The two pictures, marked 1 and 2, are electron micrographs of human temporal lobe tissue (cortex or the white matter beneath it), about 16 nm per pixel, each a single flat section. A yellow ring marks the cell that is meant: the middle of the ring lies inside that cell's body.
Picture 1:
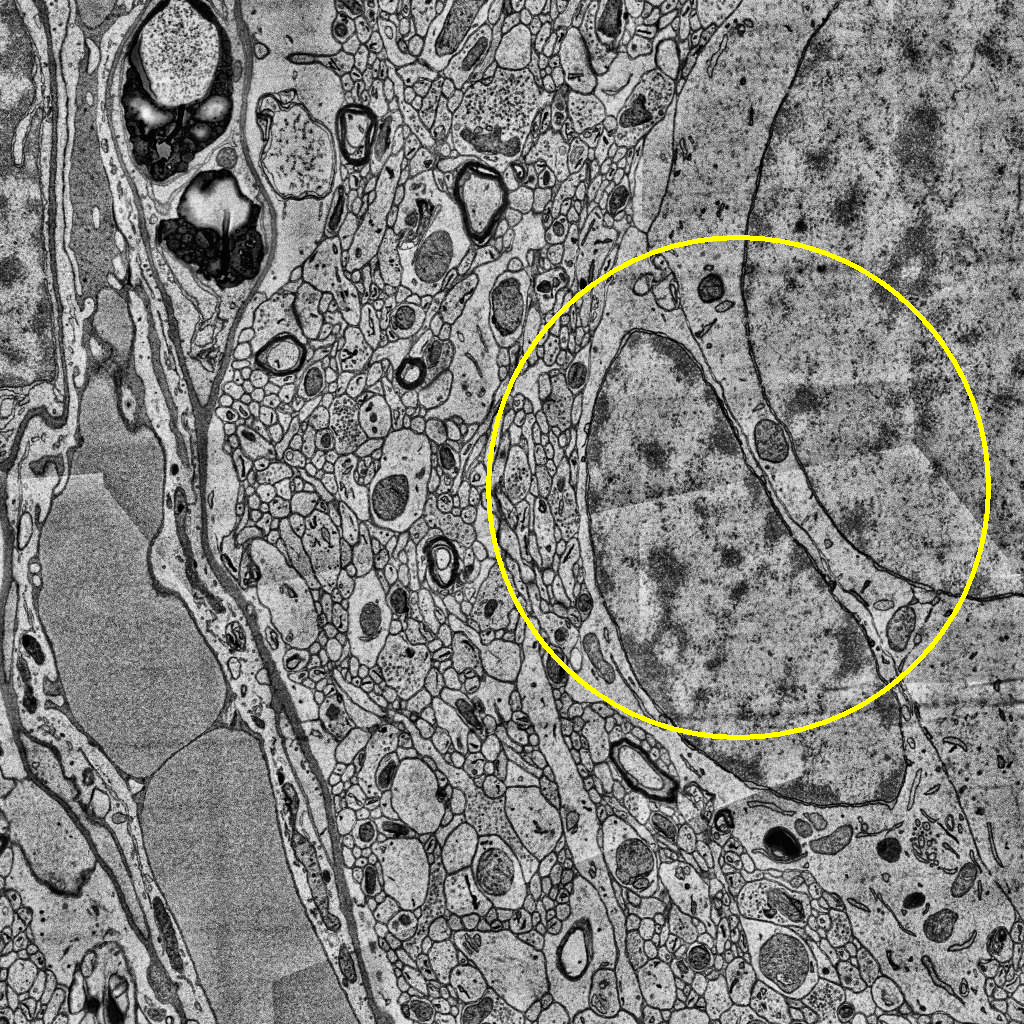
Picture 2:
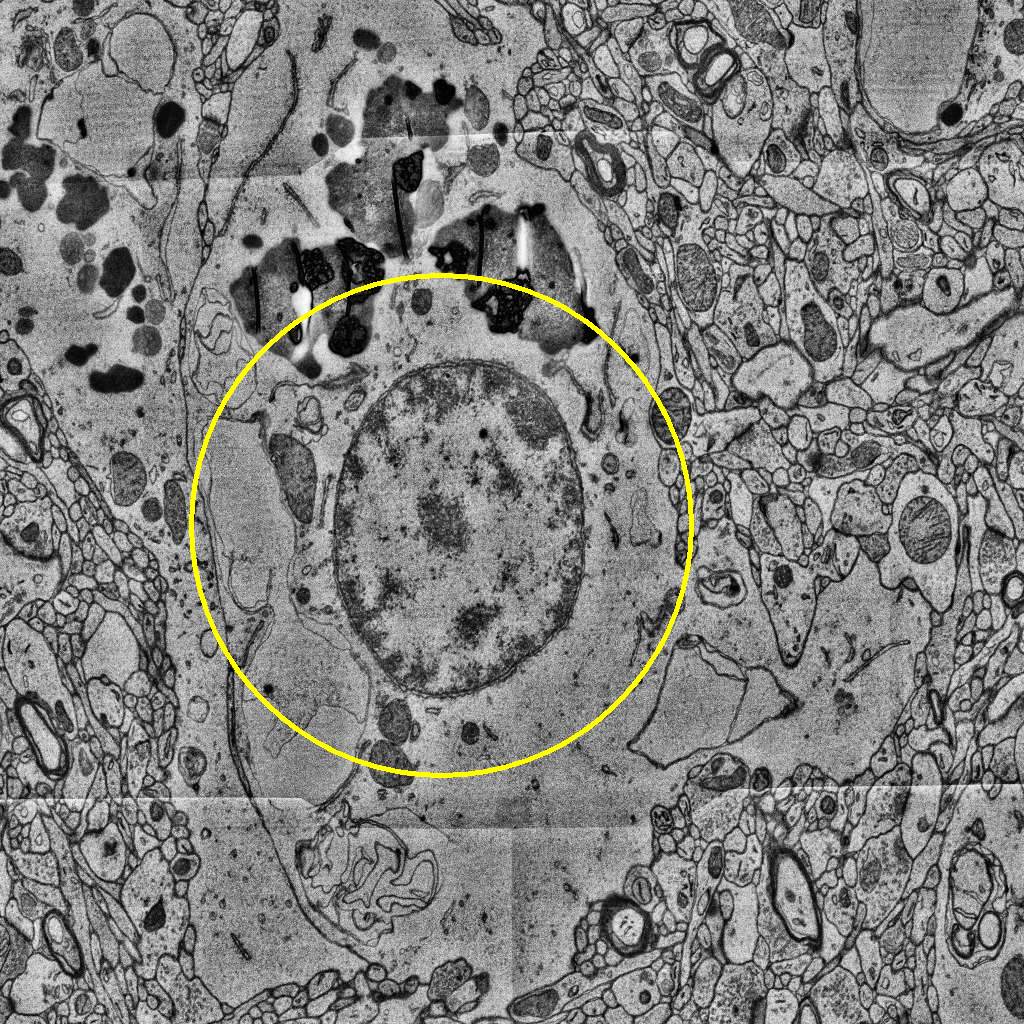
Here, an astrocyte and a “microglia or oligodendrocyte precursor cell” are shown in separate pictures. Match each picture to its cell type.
Picture 2 shows an astrocyte, while picture 1 shows a “microglia or oligodendrocyte precursor cell”.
